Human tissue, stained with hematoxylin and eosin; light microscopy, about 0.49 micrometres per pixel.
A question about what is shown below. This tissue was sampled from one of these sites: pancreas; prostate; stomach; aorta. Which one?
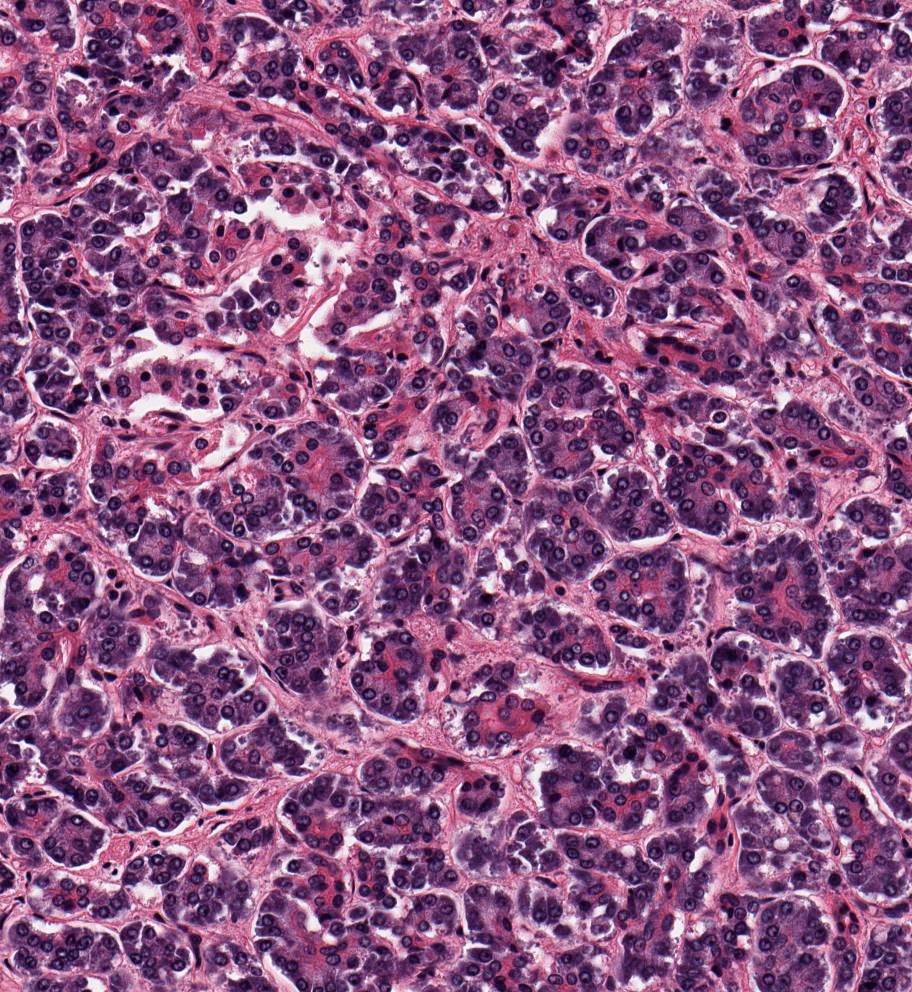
pancreas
